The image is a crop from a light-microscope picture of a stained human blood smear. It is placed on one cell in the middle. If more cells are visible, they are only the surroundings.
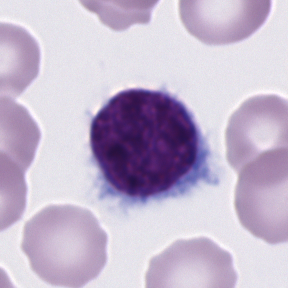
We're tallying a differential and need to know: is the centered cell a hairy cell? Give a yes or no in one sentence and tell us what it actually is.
Yes, the cell lying in the centre of the crop is identified as a hairy cell.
